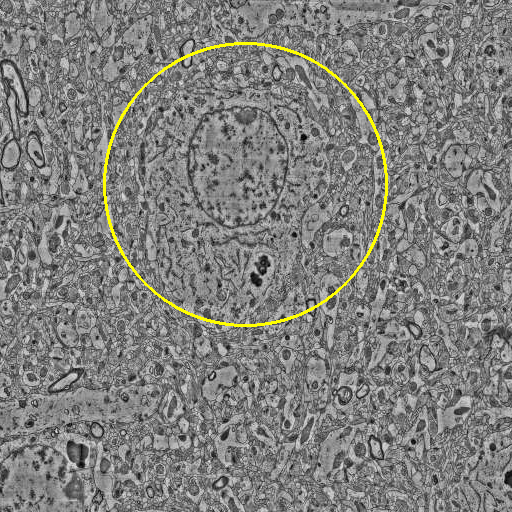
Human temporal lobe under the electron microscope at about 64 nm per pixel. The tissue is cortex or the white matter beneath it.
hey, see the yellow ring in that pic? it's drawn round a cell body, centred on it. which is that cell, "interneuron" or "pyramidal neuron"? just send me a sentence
The cell in the ring is a pyramidal neuron.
